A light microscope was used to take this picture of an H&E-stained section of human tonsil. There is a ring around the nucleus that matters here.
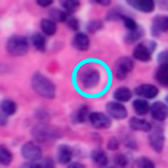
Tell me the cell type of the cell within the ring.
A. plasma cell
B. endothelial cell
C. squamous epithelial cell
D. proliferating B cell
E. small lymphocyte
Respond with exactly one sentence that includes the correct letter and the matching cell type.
It is as option B has it, the cell within the ring being an endothelial cell.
